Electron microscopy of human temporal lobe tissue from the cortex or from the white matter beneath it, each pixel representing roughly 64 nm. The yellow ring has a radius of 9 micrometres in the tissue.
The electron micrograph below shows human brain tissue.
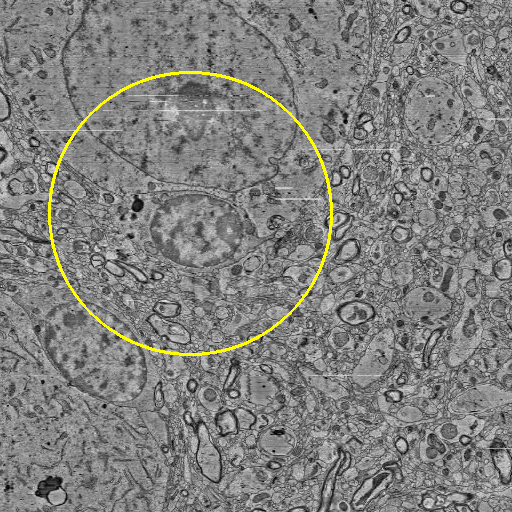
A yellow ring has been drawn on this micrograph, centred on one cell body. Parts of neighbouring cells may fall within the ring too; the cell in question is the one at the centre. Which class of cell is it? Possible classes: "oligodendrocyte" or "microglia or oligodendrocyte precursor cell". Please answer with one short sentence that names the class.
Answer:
In the centre of the ring sits an oligodendrocyte.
